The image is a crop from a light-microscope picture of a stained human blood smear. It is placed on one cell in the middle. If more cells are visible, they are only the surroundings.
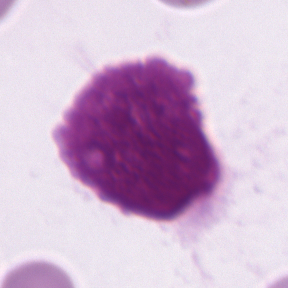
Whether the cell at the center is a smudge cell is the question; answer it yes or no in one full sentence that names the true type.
Yes, that middle cell in the crop is a smudge cell.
